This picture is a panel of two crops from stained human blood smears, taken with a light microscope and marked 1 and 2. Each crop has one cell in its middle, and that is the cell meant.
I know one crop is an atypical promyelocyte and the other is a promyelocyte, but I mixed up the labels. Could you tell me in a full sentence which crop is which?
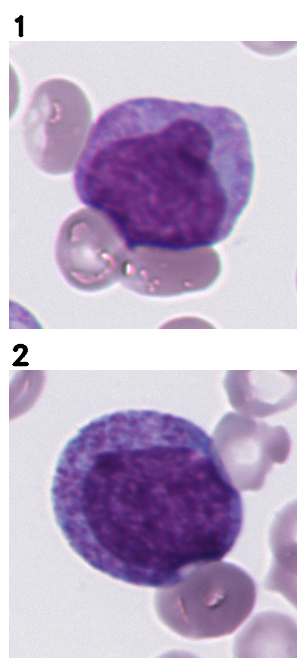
Crop 1 is an atypical promyelocyte, whilst crop 2 is a promyelocyte.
